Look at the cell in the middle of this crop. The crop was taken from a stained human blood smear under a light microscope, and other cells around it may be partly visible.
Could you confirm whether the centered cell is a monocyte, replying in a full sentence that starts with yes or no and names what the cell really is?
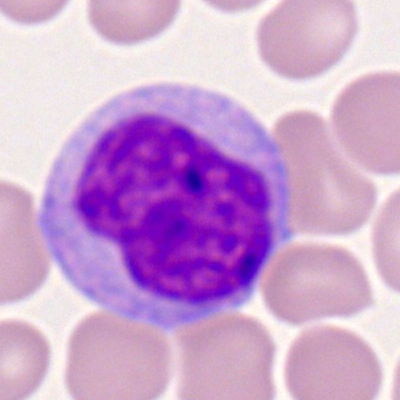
Yes, the central cell here is a monocyte.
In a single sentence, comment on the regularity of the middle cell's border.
If you check the edge, you will find it smooth without projections.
